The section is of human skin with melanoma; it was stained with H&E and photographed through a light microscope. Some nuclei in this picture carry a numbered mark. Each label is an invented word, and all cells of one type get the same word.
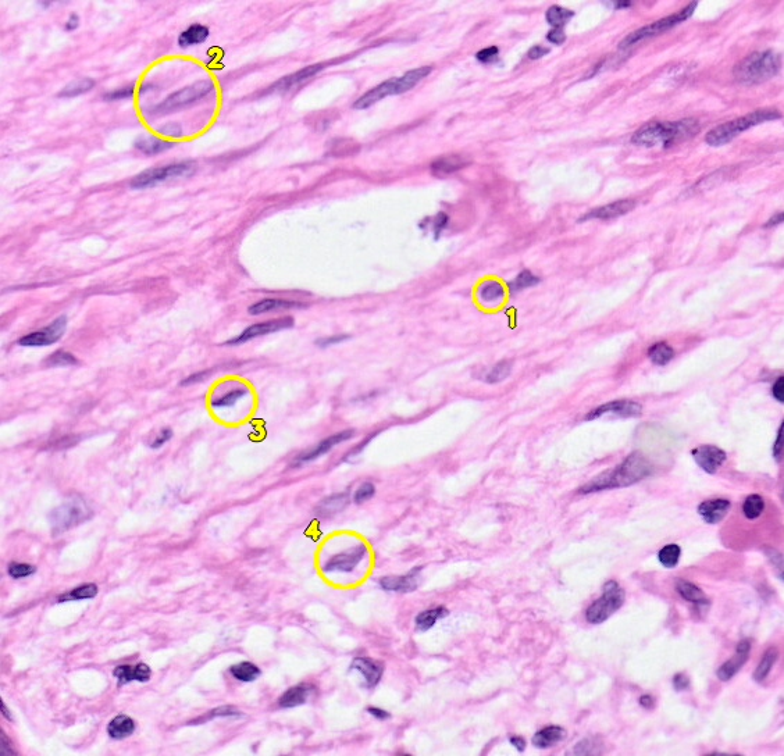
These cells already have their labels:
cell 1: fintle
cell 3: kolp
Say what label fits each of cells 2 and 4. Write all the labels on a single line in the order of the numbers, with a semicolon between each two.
kolp; kolp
